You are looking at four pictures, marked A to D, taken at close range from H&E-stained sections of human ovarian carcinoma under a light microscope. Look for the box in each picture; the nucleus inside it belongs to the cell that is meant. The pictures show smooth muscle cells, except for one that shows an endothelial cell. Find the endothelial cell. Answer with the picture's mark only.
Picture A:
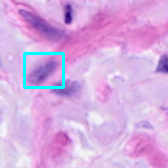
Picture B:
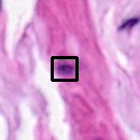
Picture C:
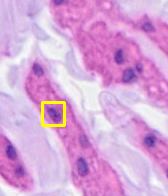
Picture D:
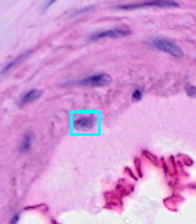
D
